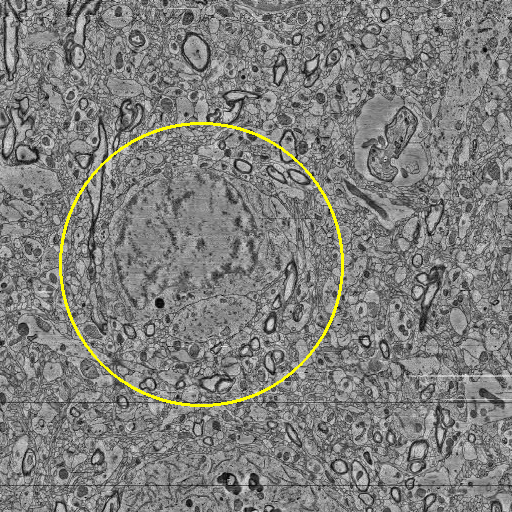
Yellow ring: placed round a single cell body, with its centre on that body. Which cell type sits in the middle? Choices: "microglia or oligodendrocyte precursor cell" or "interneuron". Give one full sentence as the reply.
It is an interneuron whose cell body sits at the centre of the yellow ring.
